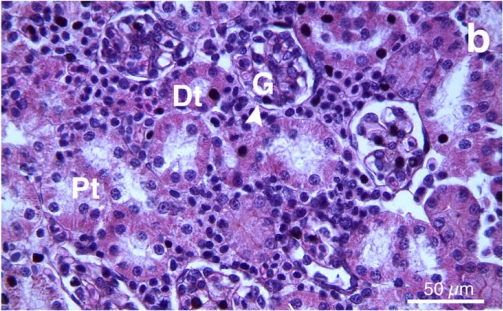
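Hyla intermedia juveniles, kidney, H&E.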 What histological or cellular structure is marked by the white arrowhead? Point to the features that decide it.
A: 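The arrowhead points at the flat-celled wall enclosing a glomerular tuft. A narrow clear space lies between the wall and the tuft.
Conclusion: Bowman’s capsule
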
